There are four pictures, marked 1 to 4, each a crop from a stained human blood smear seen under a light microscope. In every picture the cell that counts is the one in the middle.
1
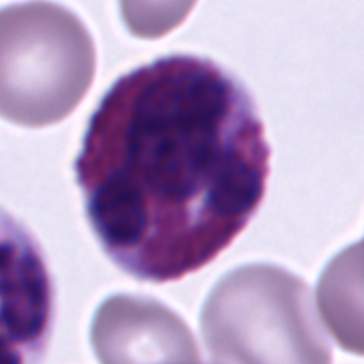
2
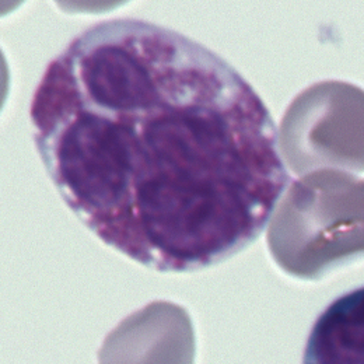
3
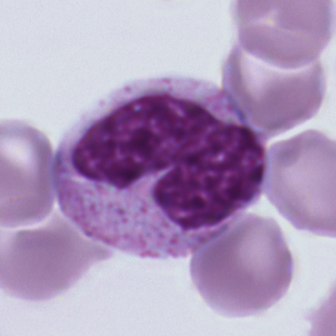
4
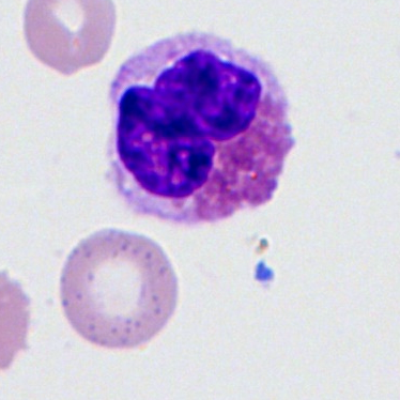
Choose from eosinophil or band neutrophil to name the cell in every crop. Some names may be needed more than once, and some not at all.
1: eosinophil
2: eosinophil
3: band neutrophil
4: eosinophil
